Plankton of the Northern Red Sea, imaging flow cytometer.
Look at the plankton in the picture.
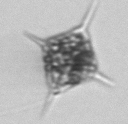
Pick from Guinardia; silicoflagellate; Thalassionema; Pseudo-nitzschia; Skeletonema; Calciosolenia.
silicoflagellate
